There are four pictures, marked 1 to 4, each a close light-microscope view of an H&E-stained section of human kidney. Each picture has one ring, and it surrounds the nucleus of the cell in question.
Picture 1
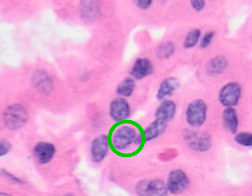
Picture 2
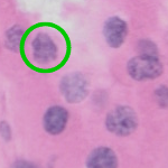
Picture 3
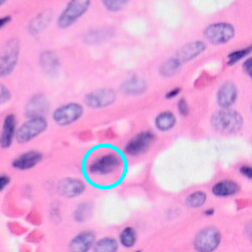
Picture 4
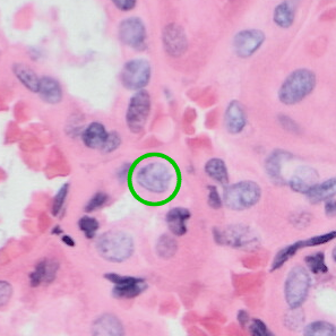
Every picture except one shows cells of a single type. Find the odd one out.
2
